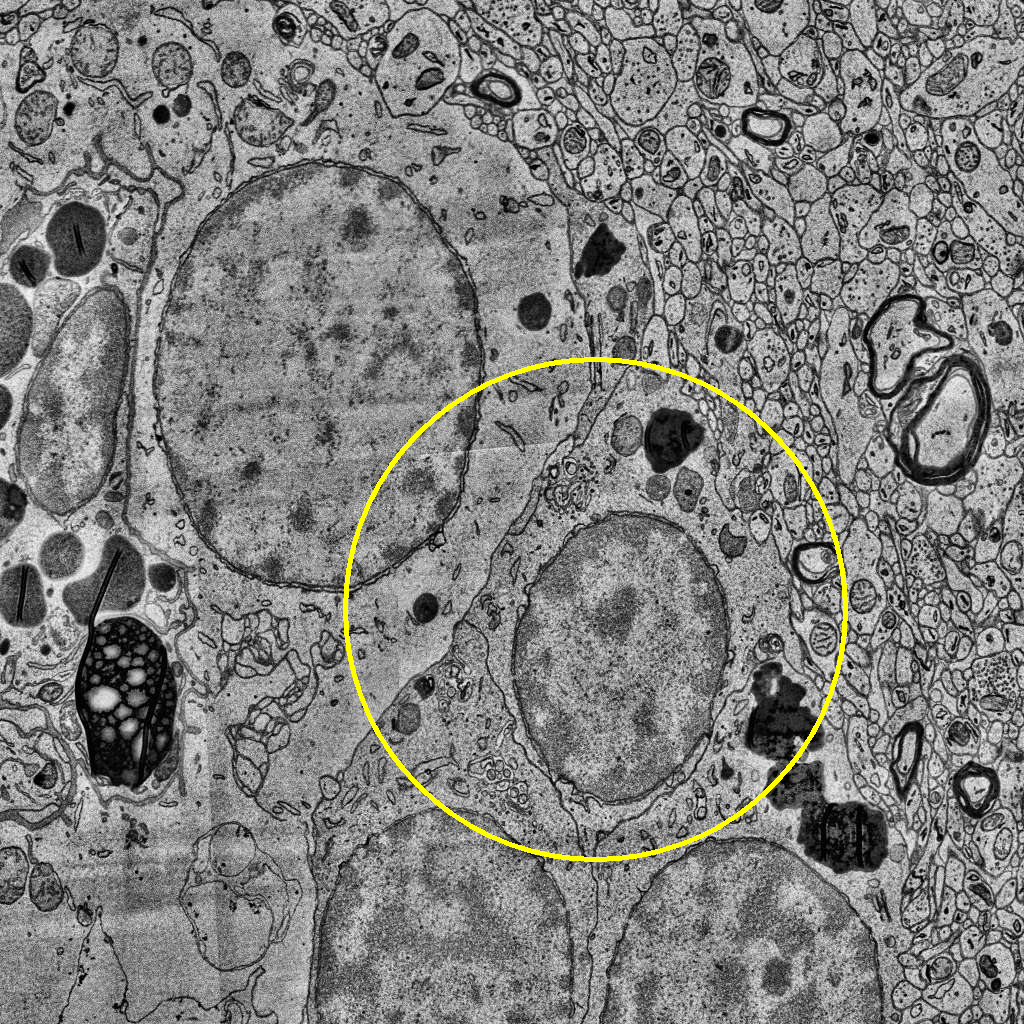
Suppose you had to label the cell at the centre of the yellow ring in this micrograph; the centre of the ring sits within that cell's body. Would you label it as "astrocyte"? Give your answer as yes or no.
No, I would label it as another kind.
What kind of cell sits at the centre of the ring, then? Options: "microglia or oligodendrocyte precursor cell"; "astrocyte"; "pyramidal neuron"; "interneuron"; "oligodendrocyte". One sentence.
Instead, the picture shows an oligodendrocyte at the centre of the ring.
